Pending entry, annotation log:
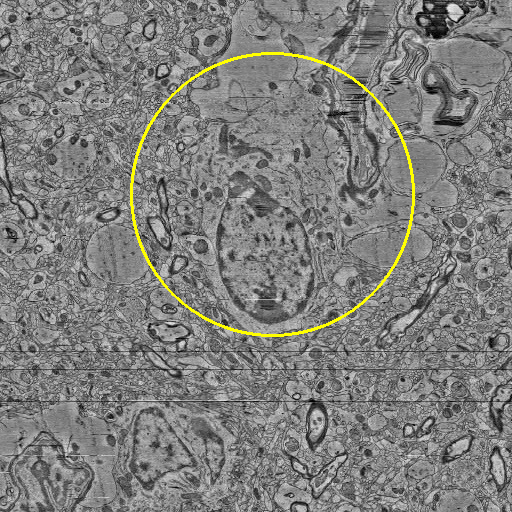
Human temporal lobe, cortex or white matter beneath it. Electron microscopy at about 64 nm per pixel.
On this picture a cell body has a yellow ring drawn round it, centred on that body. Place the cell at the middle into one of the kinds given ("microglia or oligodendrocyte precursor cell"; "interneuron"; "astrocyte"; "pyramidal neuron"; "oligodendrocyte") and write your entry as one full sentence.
The cell body at the middle of the yellow ring belongs to a microglial cell or oligodendrocyte precursor cell.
